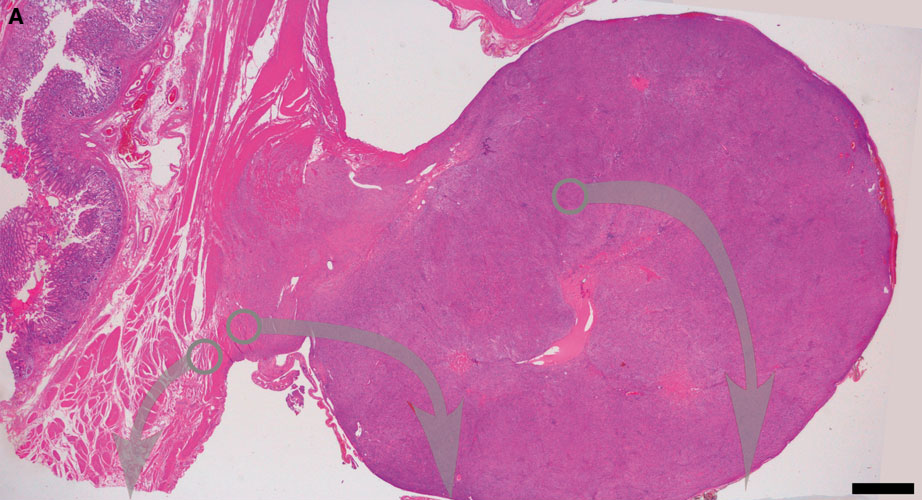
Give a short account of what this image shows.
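A low-power view of the stomach wall shows folded glandular mucosa at the left, with pale loose submucosa and pink bundles of smooth muscle beneath it. From the muscle layer a large, rounded, densely cellular purple tumour bulges outward on the external side of the wall, with a smooth rim and a narrow base where the muscle bundles are pulled apart. Within the tumour there are a few small pink foci and a thin cleft.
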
